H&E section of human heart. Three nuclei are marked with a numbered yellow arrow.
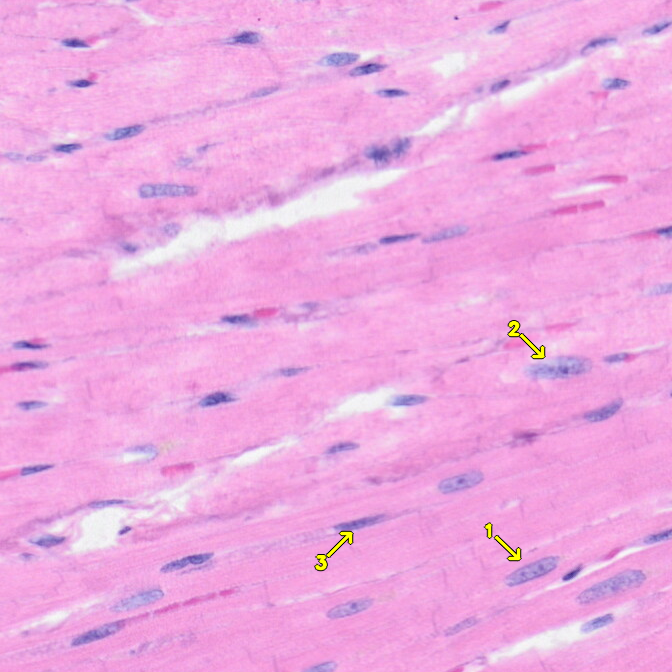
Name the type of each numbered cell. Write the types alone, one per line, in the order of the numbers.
cardiomyocyte
cardiomyocyte
endothelial cell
